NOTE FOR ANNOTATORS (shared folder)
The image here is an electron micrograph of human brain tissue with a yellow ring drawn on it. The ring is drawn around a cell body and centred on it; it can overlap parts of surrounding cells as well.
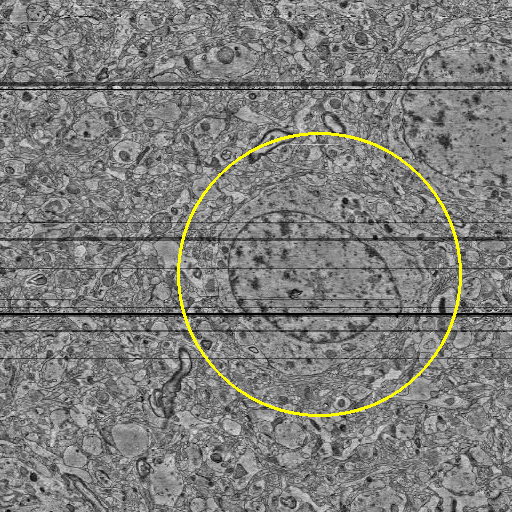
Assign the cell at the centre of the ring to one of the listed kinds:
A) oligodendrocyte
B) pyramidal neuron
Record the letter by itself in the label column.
B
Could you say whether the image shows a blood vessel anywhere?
No, none appears.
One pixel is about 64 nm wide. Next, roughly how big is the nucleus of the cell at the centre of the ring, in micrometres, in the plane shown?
In this plane the nucleus measures roughly 11 by 8 micrometers.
